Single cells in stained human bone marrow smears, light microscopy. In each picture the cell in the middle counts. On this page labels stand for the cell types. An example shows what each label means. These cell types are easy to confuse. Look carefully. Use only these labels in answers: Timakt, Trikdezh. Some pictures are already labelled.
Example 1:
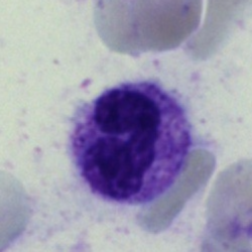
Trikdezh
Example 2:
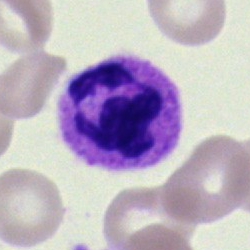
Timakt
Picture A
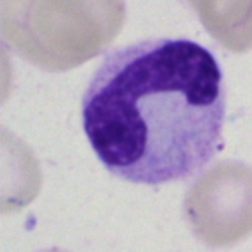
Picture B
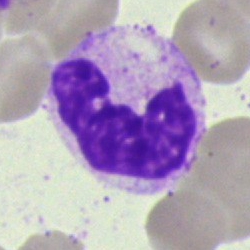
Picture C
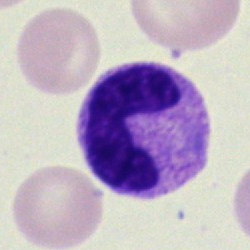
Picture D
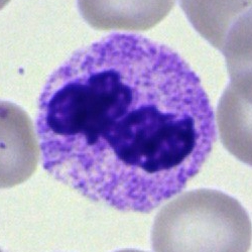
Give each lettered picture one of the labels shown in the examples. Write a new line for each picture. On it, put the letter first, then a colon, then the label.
A: Trikdezh
B: Timakt
C: Trikdezh
D: Timakt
